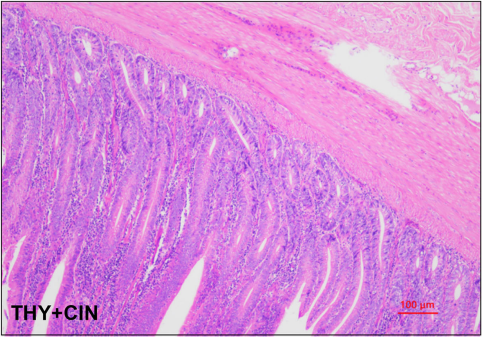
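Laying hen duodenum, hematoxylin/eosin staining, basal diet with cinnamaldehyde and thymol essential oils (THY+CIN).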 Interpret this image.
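This is a section of intestinal wall in which the base of the mucosa with its crypts lies against a thick layer of smooth muscle. The muscle forms a broad pink band running diagonally across the upper right of the field. Along its lower edge sits a closely packed row of tubular crypts, each lined by cells with purple nuclei around a narrow lumen. From this crypt zone the villi extend toward the lower left, their cores full of purple-stained nuclei and separated by narrow white spaces.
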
